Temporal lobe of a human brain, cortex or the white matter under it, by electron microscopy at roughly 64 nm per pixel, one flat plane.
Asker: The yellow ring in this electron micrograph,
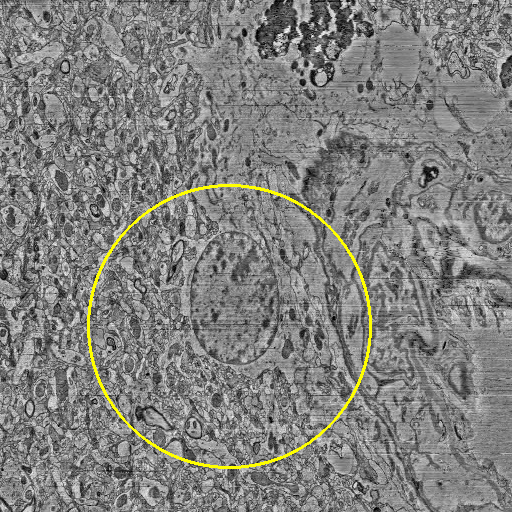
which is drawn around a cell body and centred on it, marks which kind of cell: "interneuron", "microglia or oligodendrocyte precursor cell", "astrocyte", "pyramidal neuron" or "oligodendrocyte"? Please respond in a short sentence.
The marked cell is an astrocyte.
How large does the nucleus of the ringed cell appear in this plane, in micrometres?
The nucleus is about 9 micrometres in length and 6 in width, clearly longer than it is wide in this plane.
